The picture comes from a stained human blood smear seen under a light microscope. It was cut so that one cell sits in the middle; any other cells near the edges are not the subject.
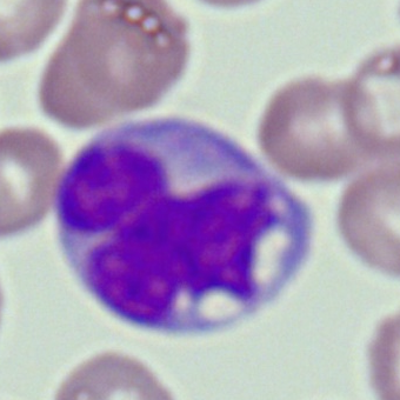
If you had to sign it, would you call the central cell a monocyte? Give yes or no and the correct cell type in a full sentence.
Yes, the cell centred in this crop is a monocyte.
